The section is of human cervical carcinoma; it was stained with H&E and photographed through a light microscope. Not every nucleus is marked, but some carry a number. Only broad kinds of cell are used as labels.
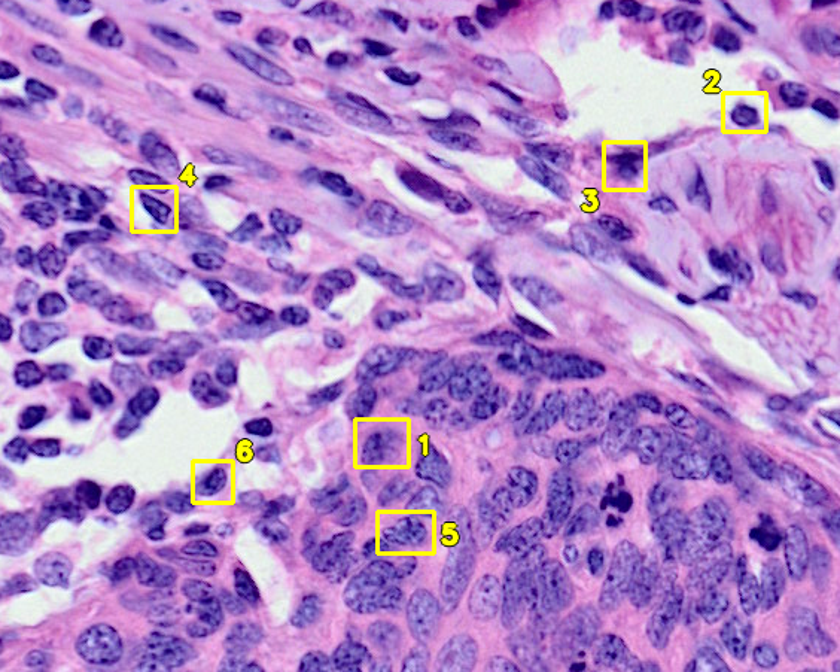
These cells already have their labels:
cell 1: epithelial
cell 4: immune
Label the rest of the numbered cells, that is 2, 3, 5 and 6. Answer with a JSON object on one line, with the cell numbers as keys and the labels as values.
{"2": "immune", "3": "immune", "5": "epithelial", "6": "immune"}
